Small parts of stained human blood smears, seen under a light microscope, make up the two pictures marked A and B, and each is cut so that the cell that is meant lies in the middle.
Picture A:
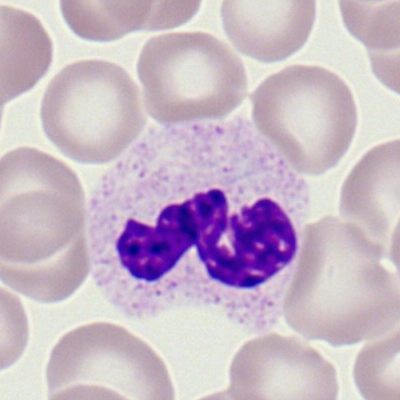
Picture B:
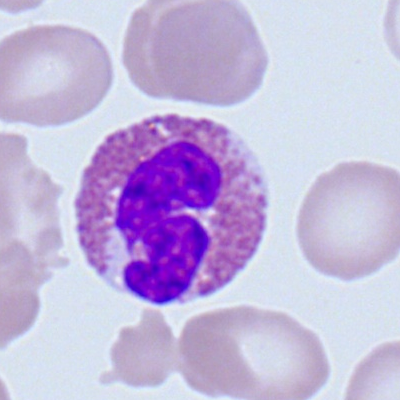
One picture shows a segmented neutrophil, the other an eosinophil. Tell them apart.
A: segmented neutrophil
B: eosinophil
